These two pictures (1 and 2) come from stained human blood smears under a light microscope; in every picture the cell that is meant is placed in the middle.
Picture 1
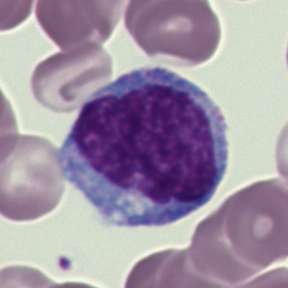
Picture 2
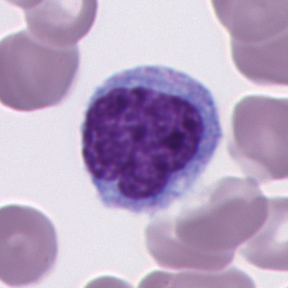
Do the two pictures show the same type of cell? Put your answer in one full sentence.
Yes, both cells are monocytes.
